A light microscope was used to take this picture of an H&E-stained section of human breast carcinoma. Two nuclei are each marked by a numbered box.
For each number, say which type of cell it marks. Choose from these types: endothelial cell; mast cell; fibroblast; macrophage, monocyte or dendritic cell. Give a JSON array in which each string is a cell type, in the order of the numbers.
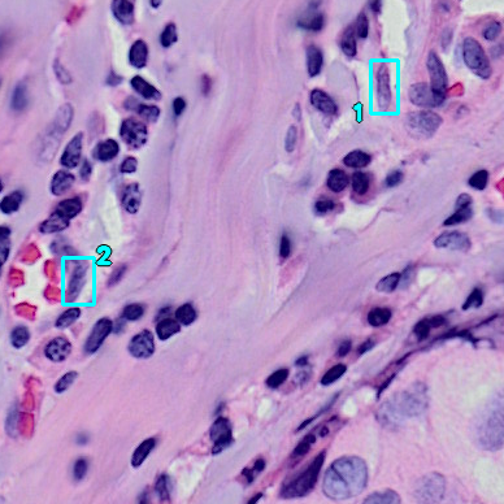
["fibroblast", "endothelial cell"]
